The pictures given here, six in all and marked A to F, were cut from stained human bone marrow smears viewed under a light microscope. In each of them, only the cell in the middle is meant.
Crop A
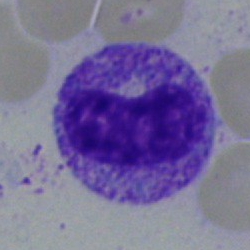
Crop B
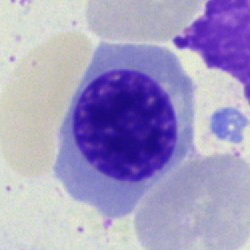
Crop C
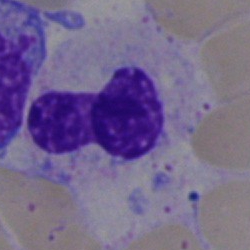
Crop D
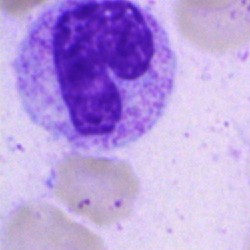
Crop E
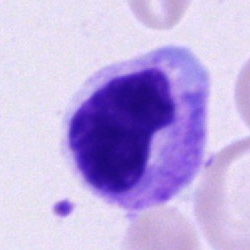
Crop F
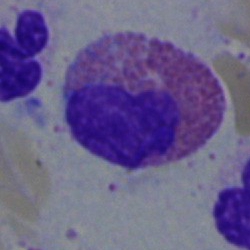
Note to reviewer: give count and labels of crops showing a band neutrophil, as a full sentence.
The crops with band neutrophils are two in number, namely C and D.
